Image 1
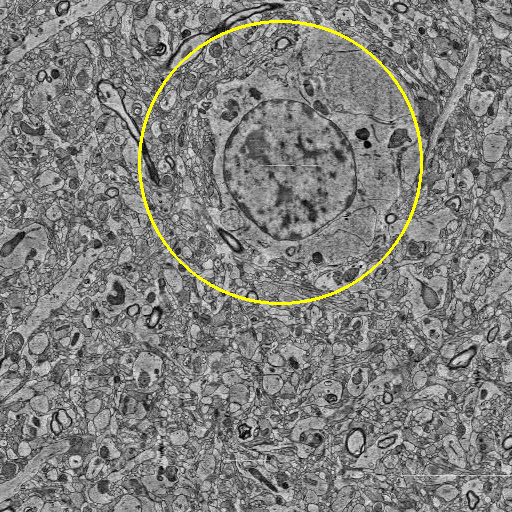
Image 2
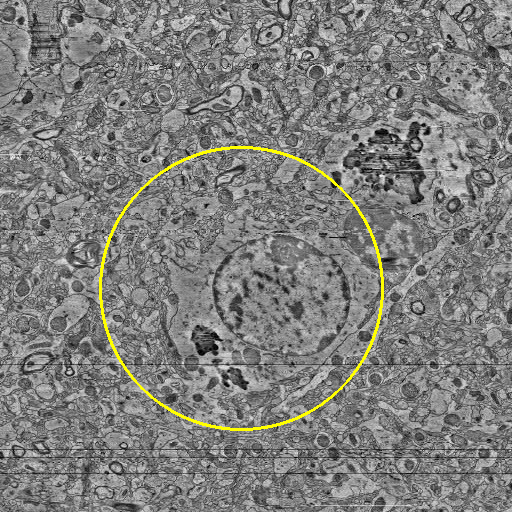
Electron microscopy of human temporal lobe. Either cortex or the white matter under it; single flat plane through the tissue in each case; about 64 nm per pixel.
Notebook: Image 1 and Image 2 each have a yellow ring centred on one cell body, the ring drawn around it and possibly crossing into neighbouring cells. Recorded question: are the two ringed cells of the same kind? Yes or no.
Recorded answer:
yes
